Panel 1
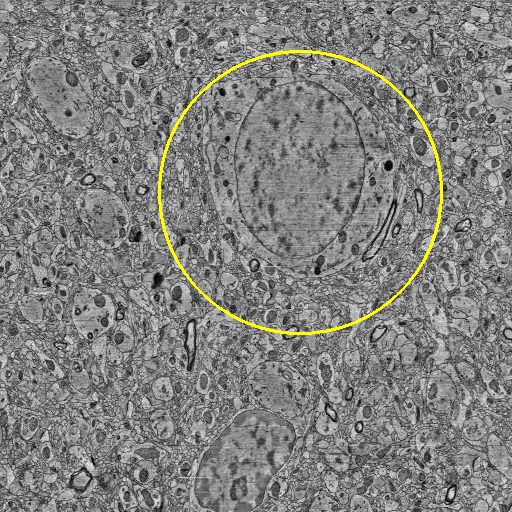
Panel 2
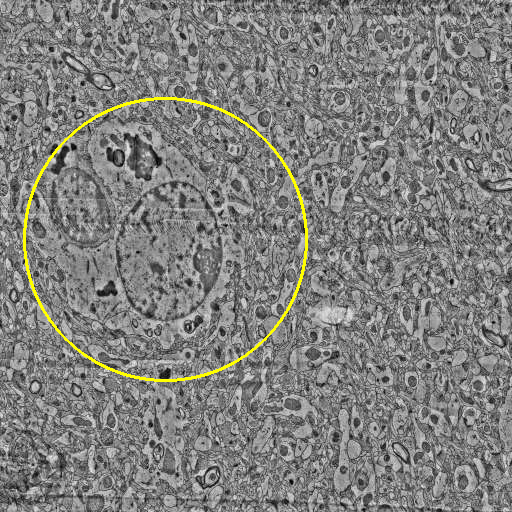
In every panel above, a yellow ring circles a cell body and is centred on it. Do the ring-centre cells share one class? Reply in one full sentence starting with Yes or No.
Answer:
No, the two cells at the ring centres in the panels belong to two classes.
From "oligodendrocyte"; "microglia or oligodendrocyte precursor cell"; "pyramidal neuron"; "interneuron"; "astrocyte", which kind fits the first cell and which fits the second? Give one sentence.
The cell marked in the first picture is a pyramidal neuron, and the one marked in the second is an astrocyte.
